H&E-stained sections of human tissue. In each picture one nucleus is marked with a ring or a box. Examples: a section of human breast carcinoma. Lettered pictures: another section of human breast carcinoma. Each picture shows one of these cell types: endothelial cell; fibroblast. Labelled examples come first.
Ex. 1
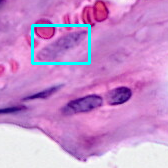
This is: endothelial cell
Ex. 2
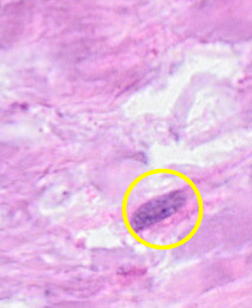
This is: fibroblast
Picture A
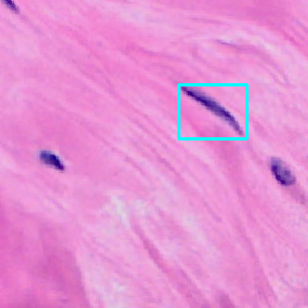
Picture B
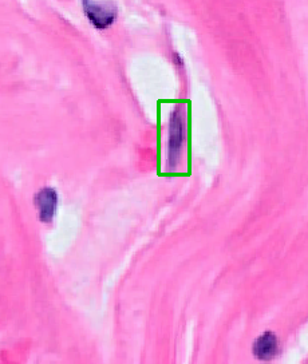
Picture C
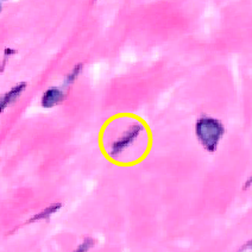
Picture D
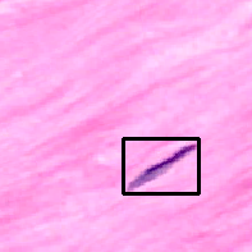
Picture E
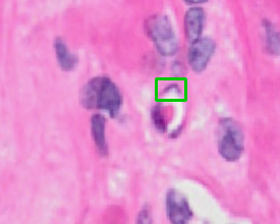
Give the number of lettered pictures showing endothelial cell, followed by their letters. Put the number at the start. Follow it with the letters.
2: B, E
